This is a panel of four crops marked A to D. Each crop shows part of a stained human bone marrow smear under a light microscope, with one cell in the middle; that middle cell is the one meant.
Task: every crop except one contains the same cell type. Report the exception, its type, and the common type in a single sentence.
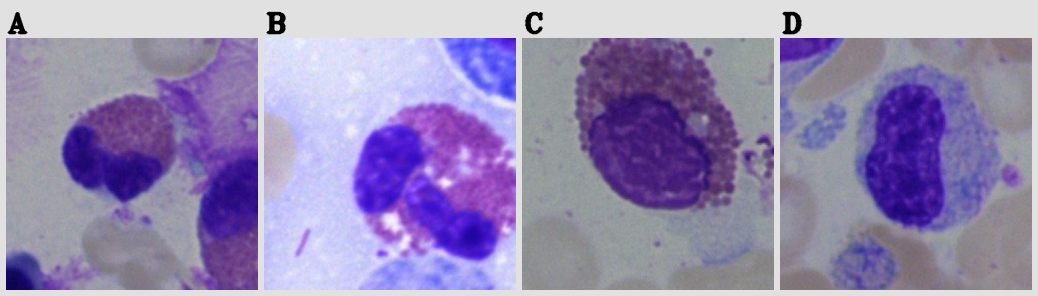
In contrast to the other crops, all of which show eosinophils, crop D shows a metamyelocyte.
